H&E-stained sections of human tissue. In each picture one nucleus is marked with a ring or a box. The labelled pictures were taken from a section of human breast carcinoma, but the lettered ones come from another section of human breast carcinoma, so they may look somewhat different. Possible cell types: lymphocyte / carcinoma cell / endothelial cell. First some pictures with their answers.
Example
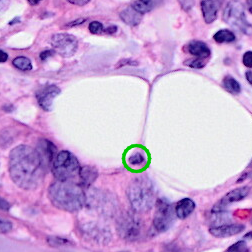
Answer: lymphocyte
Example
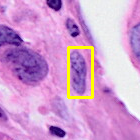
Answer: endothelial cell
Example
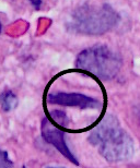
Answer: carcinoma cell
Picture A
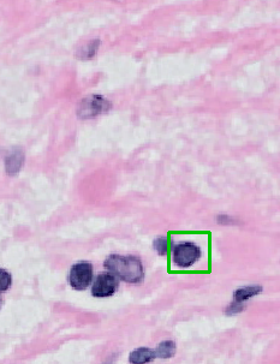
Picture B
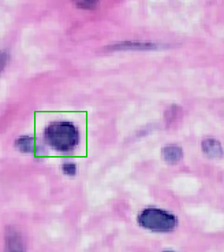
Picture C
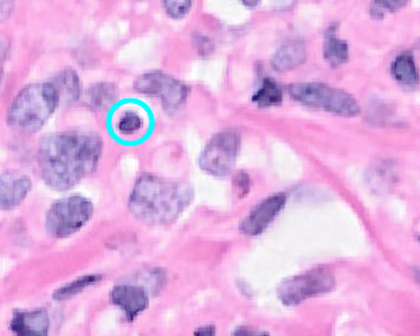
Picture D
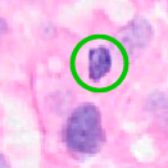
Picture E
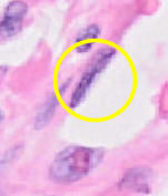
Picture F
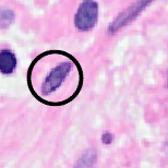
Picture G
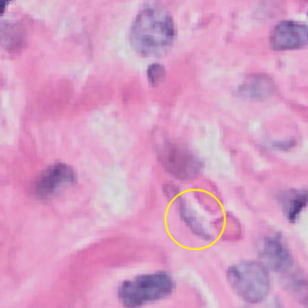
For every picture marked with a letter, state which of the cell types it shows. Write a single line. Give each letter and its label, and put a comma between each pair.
A lymphocyte, B lymphocyte, C lymphocyte, D lymphocyte, E endothelial cell, F lymphocyte, G endothelial cell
